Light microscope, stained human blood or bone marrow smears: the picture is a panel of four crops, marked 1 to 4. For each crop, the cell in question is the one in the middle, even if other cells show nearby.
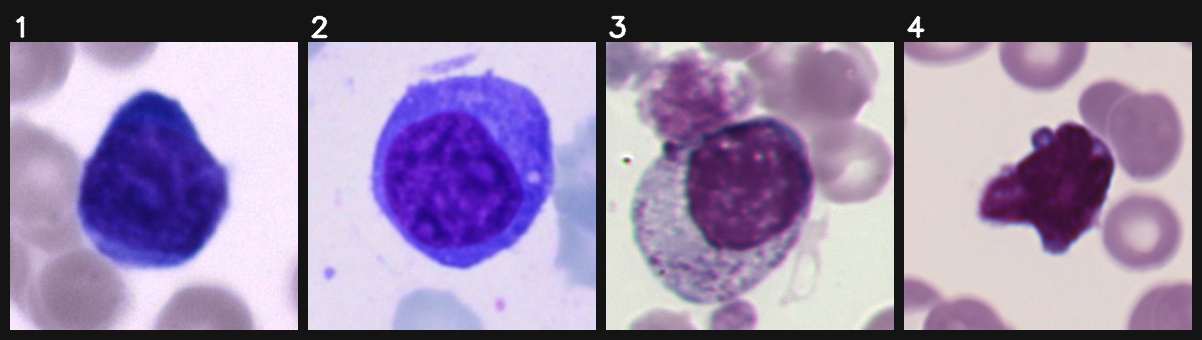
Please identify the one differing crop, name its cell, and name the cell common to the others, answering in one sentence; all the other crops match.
Unlike the other crops, all showing blasts, crop 3 is a myelocyte.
